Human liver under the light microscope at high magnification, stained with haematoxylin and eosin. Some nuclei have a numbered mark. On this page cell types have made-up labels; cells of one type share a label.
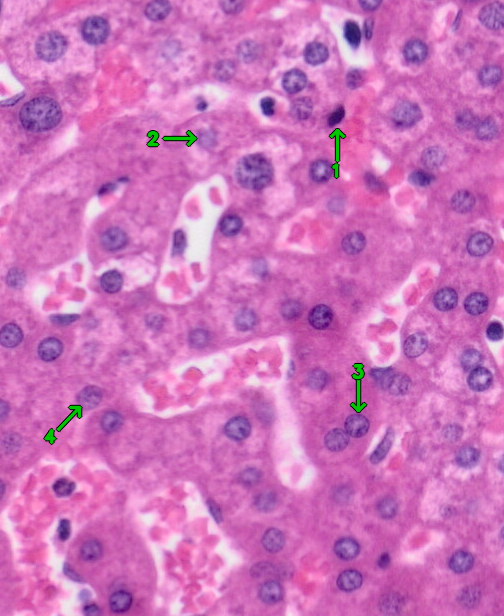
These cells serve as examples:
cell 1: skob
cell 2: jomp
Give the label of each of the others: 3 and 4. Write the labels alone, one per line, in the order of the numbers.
jomp
jomp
